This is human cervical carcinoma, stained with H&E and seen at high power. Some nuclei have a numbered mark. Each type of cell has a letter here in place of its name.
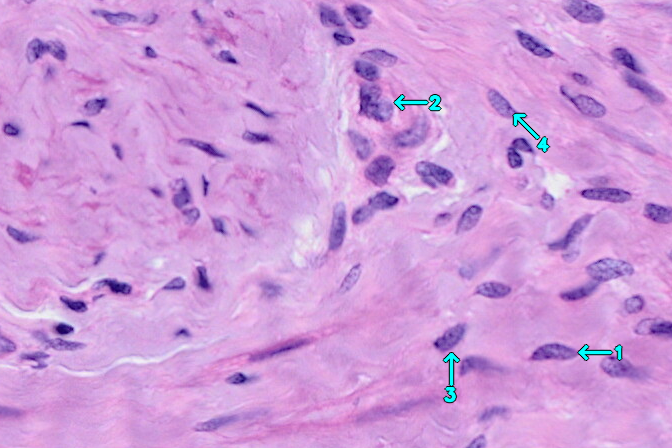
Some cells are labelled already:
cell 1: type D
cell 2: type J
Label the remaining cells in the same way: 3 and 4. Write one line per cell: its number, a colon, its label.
3: type D
4: type D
